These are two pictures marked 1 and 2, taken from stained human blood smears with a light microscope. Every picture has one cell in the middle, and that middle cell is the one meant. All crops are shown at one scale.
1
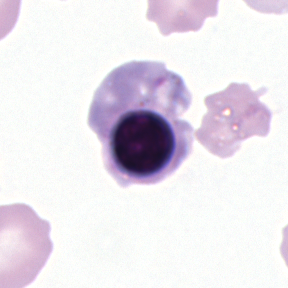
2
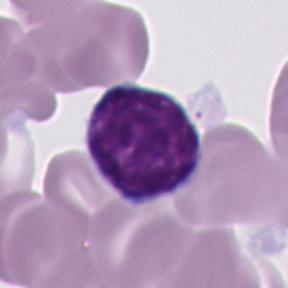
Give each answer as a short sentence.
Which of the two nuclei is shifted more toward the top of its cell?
Seen within its cell, the nucleus in crop 2 lies further toward the top.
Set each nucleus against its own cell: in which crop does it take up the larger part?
It is the cell in crop 2 that is filled more by its nucleus.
